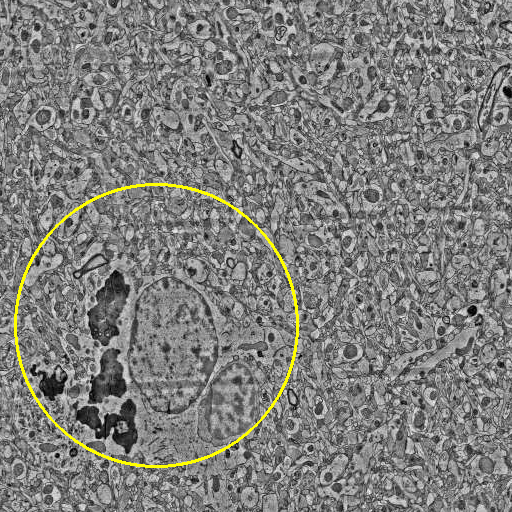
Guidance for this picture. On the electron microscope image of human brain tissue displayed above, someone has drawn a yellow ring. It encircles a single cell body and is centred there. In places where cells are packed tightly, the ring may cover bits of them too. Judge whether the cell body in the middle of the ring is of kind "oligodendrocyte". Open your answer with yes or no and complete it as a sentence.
No, another kind matches the cell whose body lies at the ring's centre in the image above.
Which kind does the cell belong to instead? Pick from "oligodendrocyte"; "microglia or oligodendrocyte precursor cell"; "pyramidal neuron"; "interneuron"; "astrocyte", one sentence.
What the ring is centred on is an astrocyte.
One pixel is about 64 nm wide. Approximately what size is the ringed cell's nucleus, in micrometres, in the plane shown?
In this plane, approximately 9 by 6 micrometers, and clearly longer than it is wide.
